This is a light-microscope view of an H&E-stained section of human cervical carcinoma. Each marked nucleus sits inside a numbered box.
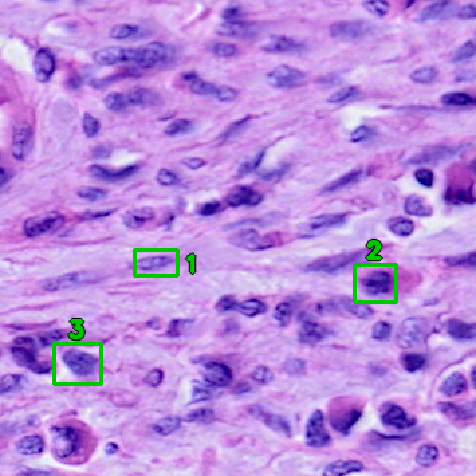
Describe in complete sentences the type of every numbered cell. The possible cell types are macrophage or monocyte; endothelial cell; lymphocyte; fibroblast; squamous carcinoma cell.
Cell 1 is a fibroblast. Cells 2 and 3 are lymphocytes.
